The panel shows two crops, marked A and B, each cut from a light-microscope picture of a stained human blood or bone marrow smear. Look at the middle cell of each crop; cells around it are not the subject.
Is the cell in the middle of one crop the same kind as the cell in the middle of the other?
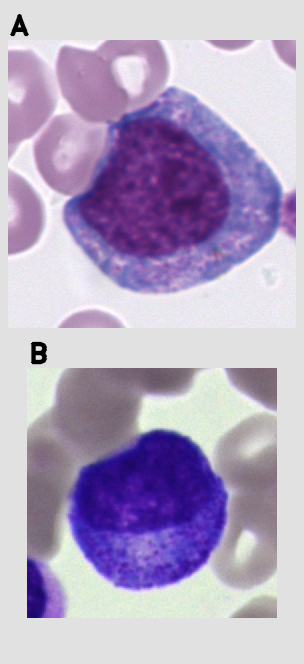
yes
